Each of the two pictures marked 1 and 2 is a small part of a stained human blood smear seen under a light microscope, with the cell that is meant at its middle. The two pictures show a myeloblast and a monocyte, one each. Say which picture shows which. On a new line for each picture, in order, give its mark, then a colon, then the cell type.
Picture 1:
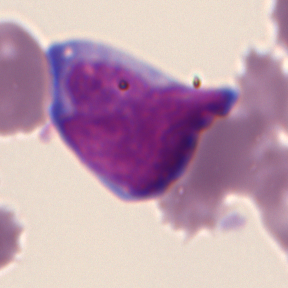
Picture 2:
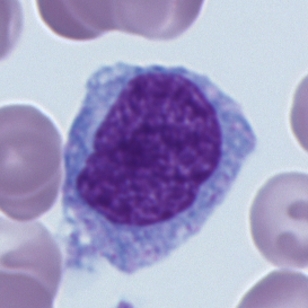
1: myeloblast
2: monocyte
